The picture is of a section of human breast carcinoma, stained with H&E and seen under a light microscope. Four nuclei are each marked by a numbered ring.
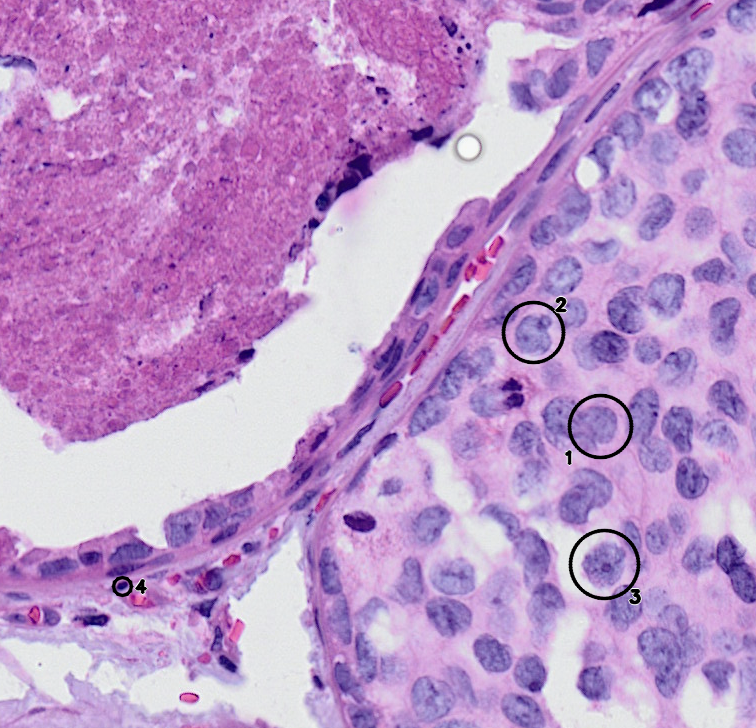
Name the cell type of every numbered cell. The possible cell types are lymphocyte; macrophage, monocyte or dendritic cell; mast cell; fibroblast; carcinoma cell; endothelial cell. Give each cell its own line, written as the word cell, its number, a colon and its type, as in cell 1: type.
cell 1: carcinoma cell
cell 2: carcinoma cell
cell 3: carcinoma cell
cell 4: endothelial cell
